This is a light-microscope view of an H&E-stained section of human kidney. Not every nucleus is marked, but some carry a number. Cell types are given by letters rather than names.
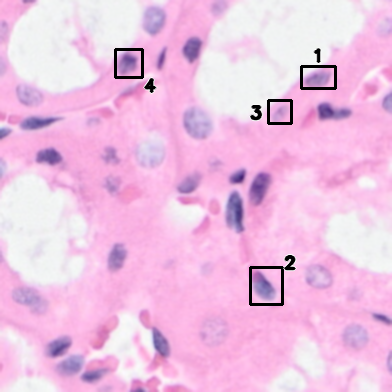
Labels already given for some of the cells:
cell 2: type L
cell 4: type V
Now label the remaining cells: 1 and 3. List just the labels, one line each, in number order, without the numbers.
type V
type V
